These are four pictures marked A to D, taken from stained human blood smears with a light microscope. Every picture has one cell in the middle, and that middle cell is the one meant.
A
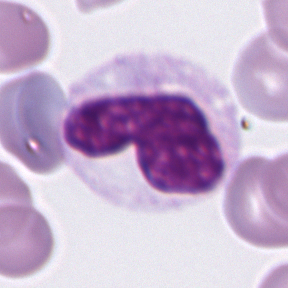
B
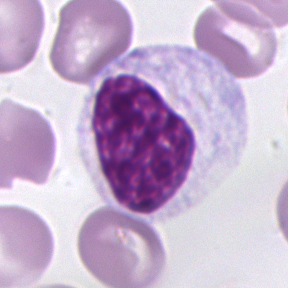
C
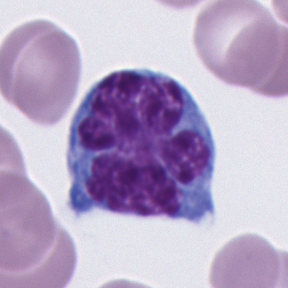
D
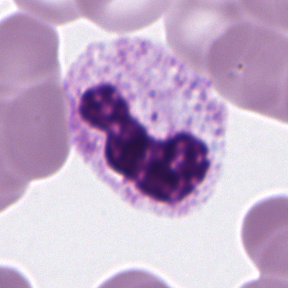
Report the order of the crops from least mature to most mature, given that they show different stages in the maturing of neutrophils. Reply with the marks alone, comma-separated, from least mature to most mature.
C, B, A, D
